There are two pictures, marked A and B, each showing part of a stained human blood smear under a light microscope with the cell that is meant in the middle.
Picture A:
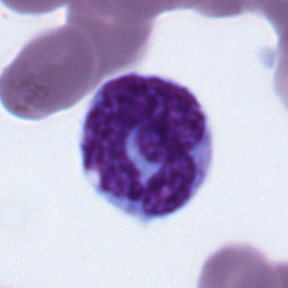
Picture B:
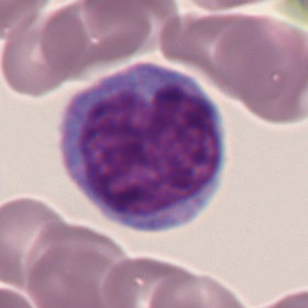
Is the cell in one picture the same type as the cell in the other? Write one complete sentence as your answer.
Yes; the cells in both pictures are monocytes.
